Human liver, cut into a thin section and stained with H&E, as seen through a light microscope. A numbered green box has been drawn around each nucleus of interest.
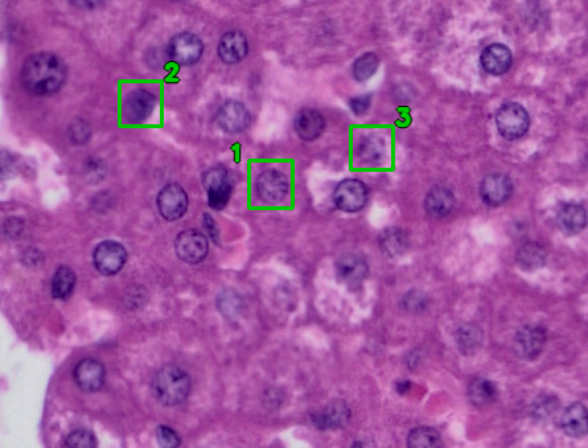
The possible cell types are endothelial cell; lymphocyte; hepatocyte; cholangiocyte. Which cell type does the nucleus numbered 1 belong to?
hepatocyte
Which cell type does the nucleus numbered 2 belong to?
endothelial cell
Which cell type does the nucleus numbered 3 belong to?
hepatocyte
